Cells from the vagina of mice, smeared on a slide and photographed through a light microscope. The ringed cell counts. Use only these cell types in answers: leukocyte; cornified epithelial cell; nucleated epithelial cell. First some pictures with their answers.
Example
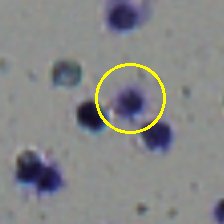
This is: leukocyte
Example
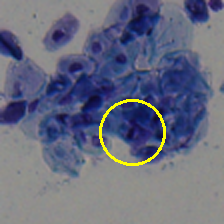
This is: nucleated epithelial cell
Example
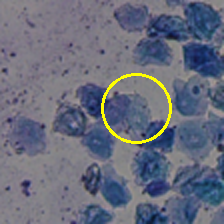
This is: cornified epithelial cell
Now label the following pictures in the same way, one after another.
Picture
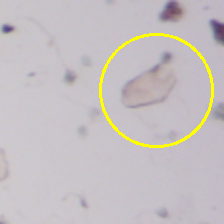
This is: cornified epithelial cell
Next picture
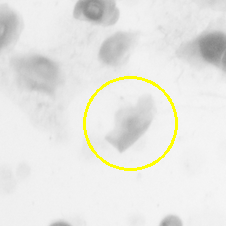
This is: cornified epithelial cell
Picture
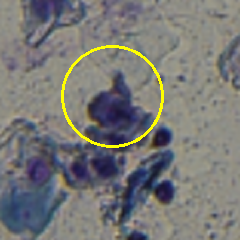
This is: nucleated epithelial cell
